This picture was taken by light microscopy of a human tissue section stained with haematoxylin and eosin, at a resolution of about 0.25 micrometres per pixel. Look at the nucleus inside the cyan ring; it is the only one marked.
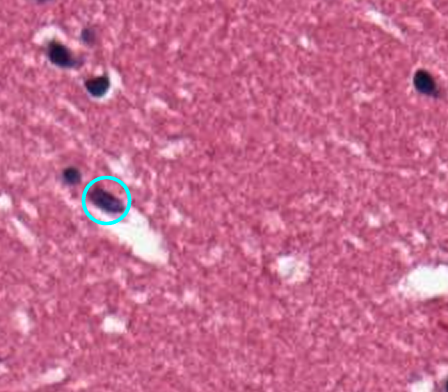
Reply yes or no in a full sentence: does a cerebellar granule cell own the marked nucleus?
No, it is a supporting cell whose nucleus is marked, not a cerebellar granule cell.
